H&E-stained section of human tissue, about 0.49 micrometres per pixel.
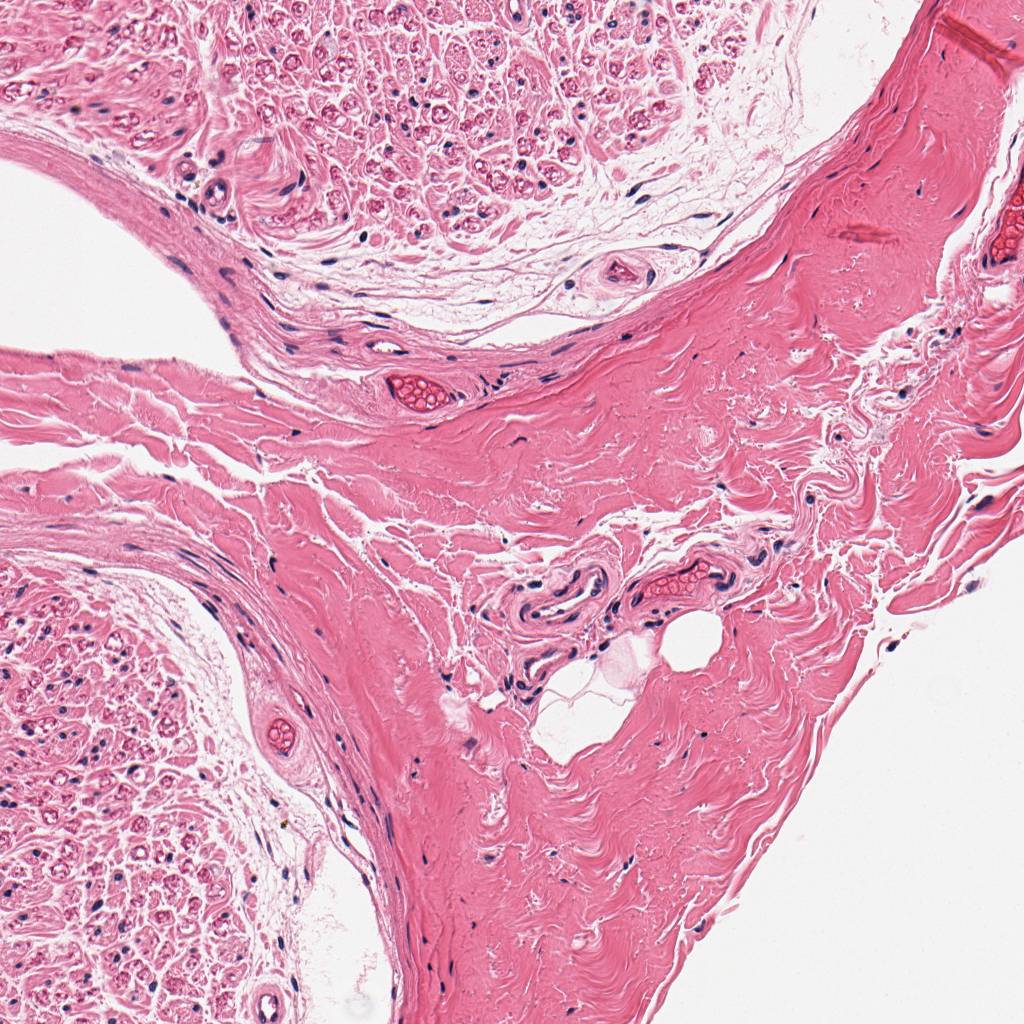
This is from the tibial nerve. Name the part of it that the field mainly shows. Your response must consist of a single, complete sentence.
The portion of tissue on this slide is called epineurium.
